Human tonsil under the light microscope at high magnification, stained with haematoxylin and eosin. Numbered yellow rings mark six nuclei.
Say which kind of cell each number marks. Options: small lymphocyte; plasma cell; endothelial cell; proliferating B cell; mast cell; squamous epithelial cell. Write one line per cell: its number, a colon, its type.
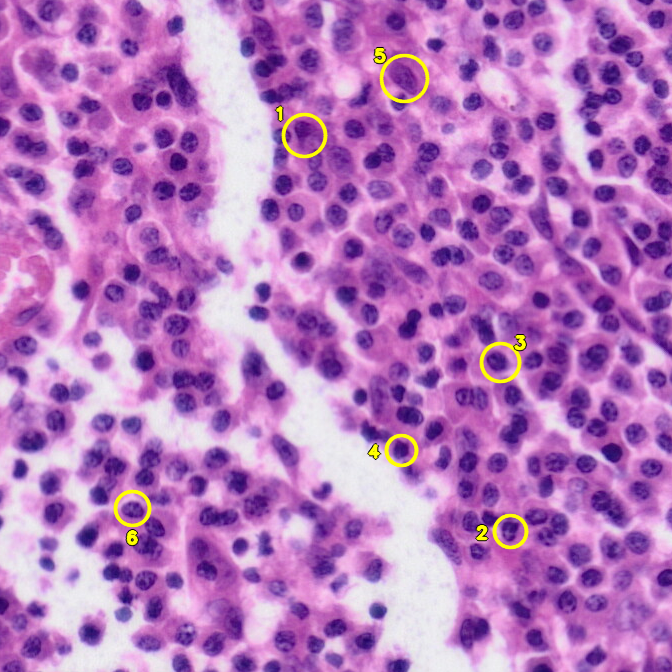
1: squamous epithelial cell
2: plasma cell
3: plasma cell
4: plasma cell
5: squamous epithelial cell
6: plasma cell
